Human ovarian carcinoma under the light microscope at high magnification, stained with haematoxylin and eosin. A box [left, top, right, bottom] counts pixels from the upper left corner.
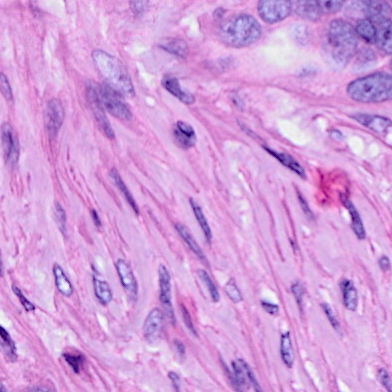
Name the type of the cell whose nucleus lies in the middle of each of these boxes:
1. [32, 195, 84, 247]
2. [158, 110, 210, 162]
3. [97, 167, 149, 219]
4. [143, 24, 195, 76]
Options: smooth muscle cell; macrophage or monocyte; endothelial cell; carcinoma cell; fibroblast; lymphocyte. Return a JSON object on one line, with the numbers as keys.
{"1": "fibroblast", "2": "lymphocyte", "3": "fibroblast", "4": "fibroblast"}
